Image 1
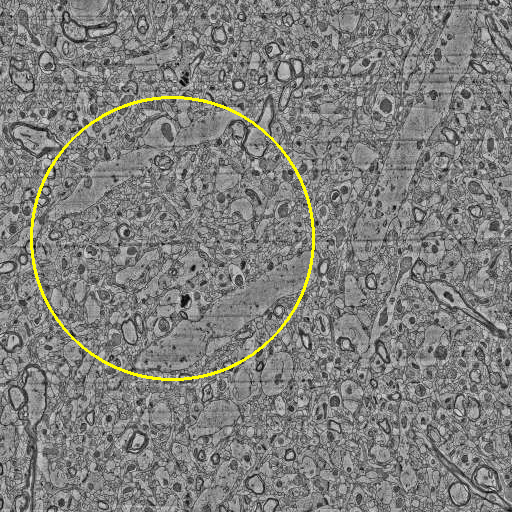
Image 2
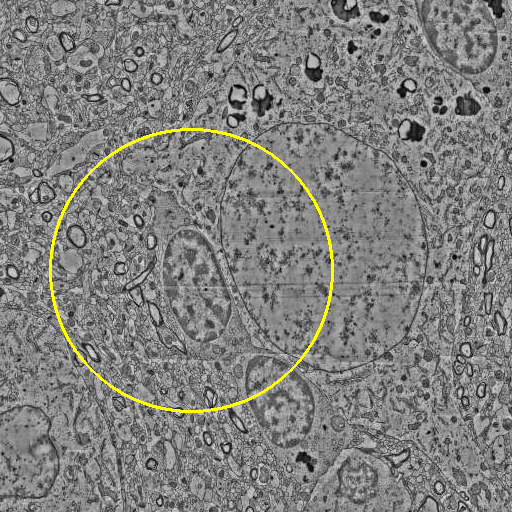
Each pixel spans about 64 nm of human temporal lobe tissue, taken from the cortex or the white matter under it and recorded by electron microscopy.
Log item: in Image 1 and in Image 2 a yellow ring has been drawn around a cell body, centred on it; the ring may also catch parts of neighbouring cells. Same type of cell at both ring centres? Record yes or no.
yes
